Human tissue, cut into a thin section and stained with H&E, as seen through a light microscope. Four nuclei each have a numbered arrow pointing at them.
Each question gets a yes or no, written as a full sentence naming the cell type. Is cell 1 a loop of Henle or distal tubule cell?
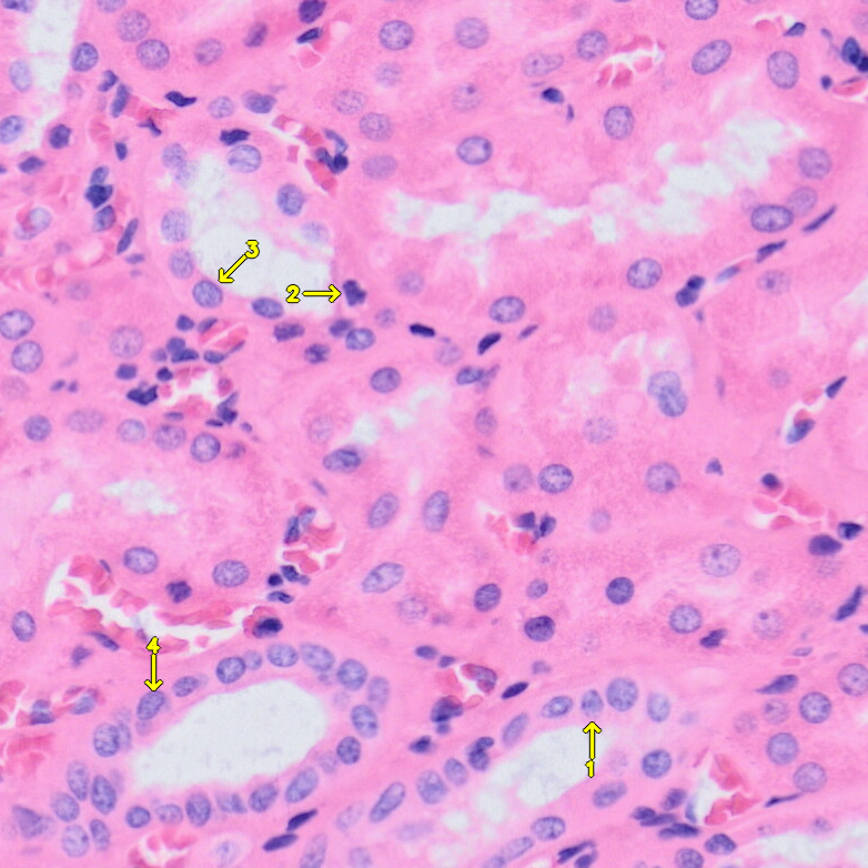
No, cell number 1 is a collecting duct cell; it is not a loop of Henle or distal tubule cell.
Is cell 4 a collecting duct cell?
Yes, the cell given number 4 is a collecting duct cell.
